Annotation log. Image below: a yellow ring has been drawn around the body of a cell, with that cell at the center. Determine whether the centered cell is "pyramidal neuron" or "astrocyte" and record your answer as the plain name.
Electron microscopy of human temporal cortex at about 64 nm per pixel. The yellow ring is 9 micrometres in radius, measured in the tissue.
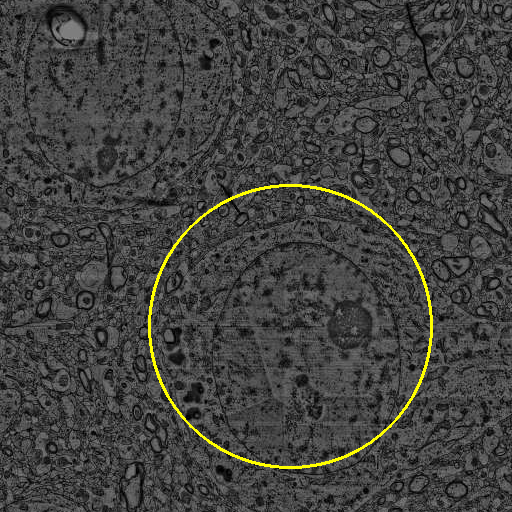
pyramidal neuron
